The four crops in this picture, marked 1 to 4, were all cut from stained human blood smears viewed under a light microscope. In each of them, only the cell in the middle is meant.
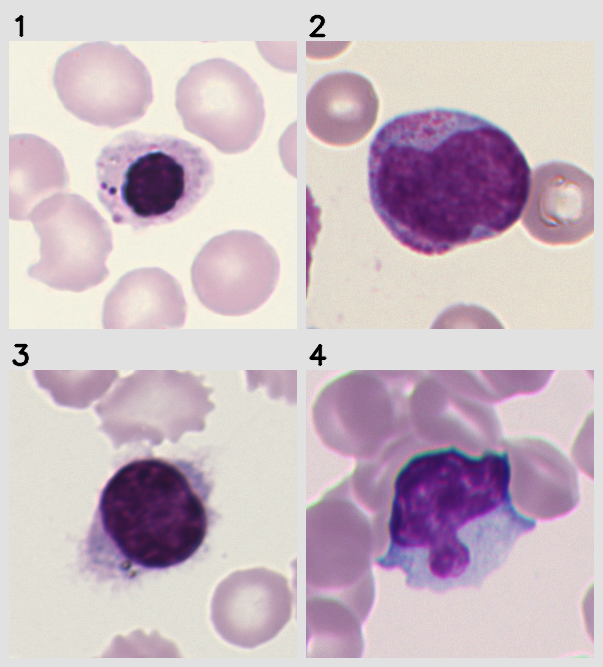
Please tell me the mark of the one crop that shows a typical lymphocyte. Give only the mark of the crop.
4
